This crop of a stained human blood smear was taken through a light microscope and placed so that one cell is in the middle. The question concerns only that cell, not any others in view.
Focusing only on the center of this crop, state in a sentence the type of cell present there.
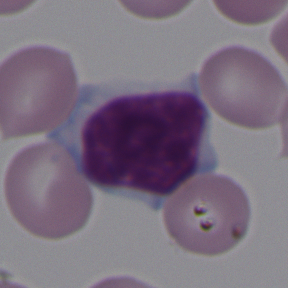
Standing at the centre of this crop is a typical lymphocyte.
